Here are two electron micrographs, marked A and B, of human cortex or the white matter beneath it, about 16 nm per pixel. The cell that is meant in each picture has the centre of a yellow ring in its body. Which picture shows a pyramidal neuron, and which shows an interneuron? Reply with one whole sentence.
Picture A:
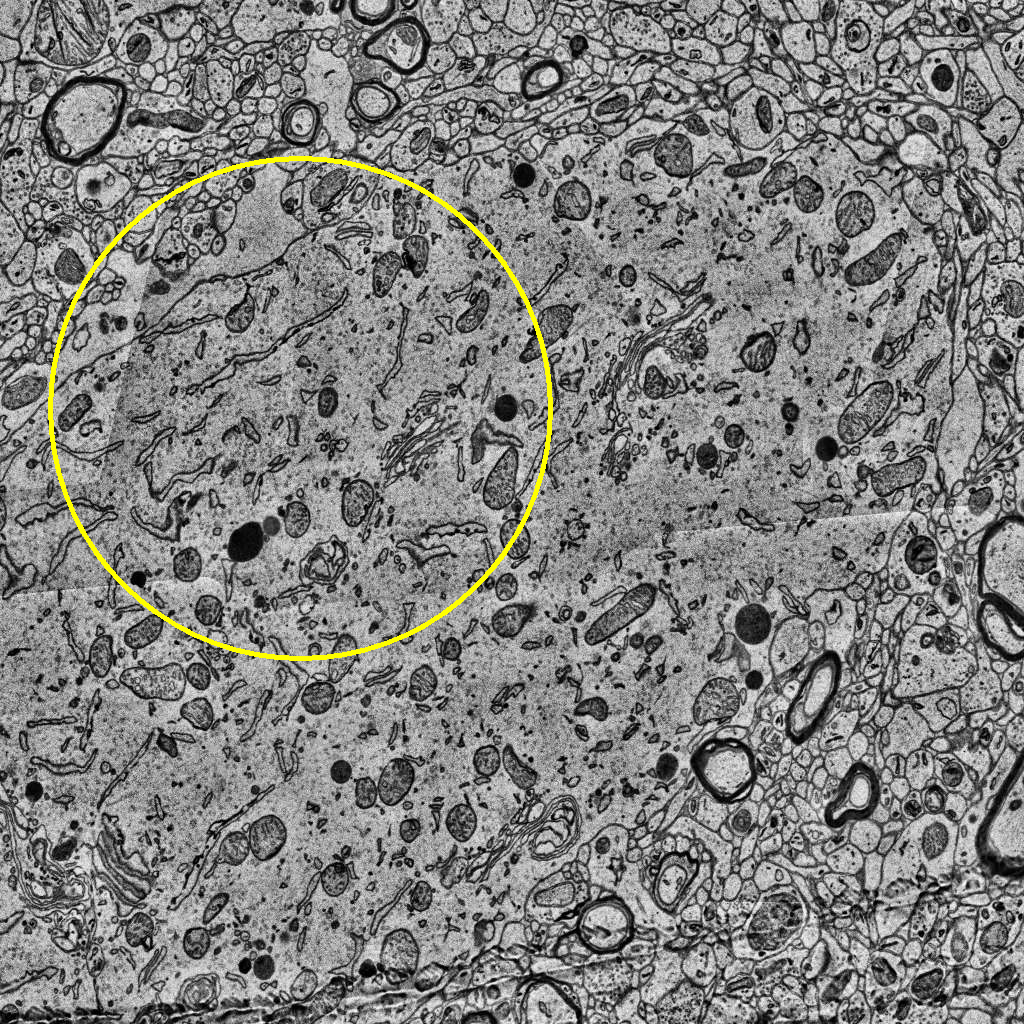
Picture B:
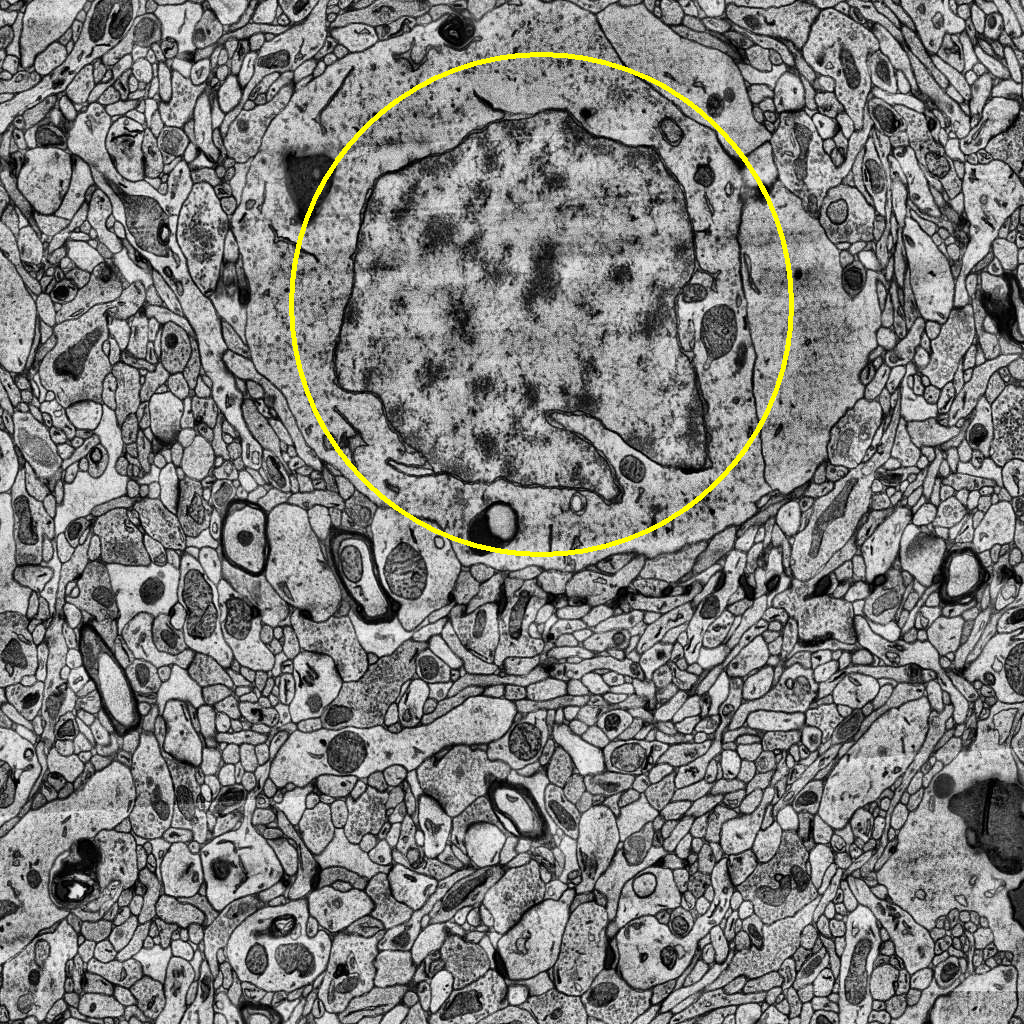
In picture A the cell is a pyramidal neuron; in picture B, an interneuron.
